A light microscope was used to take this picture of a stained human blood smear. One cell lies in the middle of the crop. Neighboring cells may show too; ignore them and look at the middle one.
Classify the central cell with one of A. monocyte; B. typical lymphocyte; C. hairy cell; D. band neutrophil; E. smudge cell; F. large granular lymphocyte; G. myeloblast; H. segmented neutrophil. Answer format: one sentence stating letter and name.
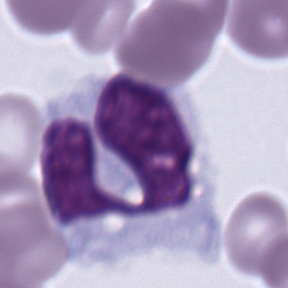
The central cell in this crop is a monocyte, so the correct choice is option A.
